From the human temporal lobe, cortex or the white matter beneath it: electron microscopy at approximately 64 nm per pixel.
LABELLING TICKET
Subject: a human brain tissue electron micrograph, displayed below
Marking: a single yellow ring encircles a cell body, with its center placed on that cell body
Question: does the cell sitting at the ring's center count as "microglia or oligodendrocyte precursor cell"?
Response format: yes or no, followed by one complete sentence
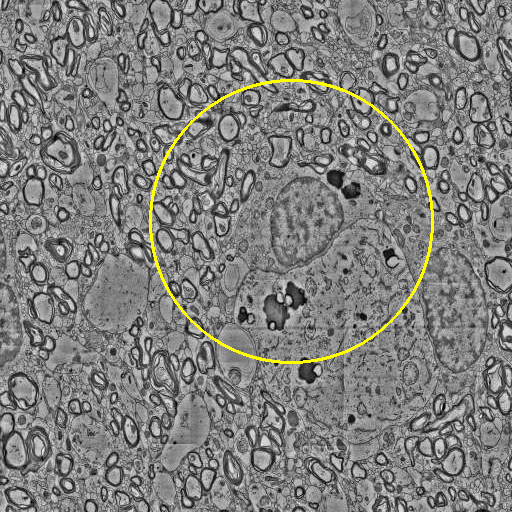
No, the cell at the center of the ring in the picture belongs to another kind.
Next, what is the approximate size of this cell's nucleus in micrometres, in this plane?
In this plane the nucleus spans approximately 6 by 5 micrometers.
